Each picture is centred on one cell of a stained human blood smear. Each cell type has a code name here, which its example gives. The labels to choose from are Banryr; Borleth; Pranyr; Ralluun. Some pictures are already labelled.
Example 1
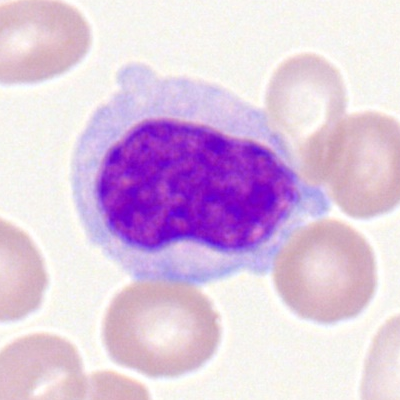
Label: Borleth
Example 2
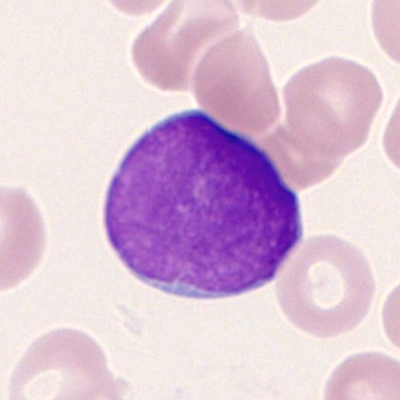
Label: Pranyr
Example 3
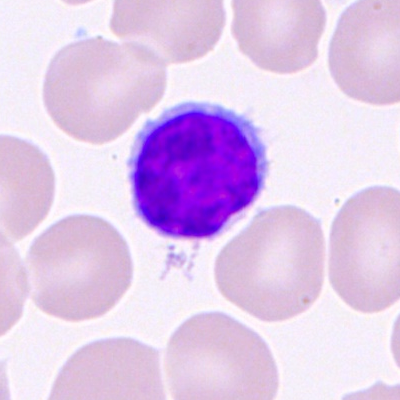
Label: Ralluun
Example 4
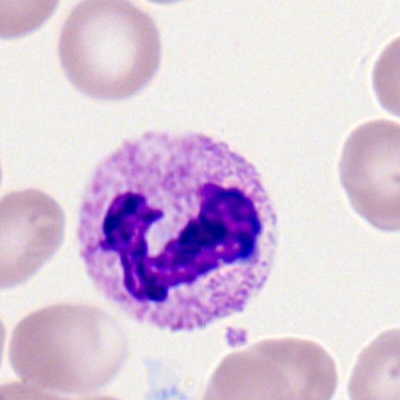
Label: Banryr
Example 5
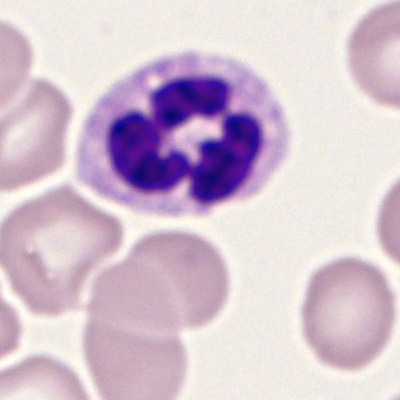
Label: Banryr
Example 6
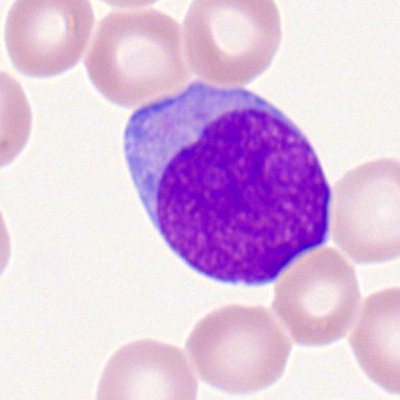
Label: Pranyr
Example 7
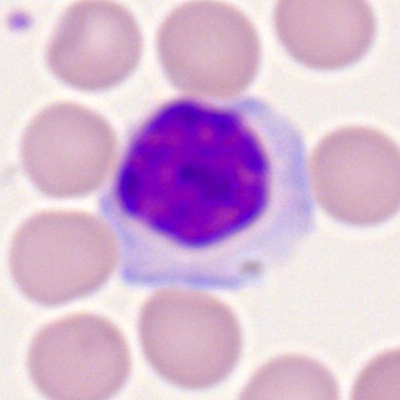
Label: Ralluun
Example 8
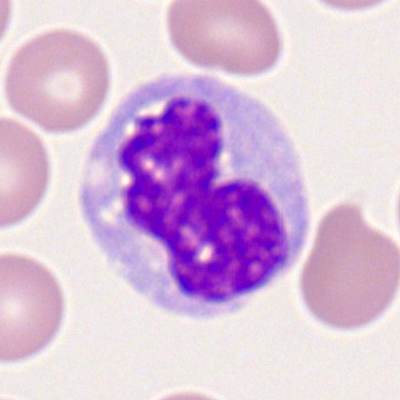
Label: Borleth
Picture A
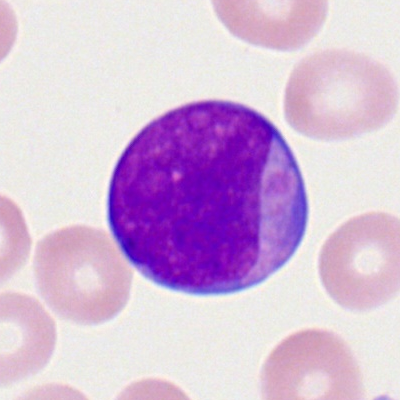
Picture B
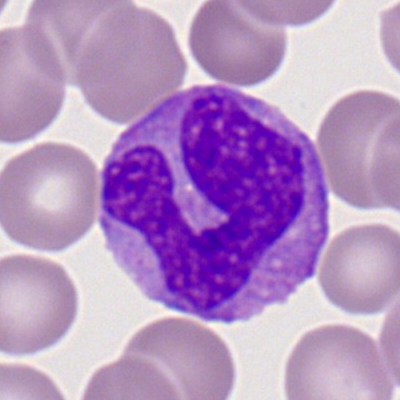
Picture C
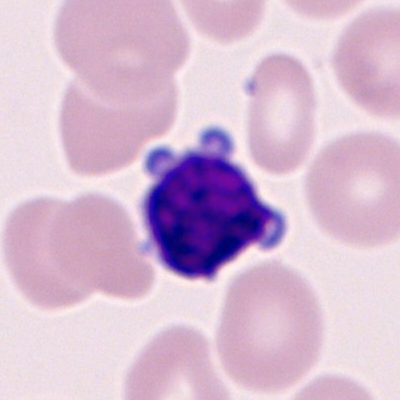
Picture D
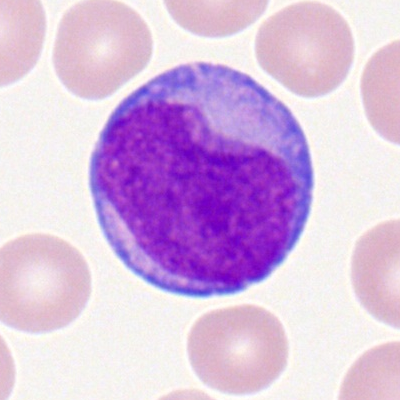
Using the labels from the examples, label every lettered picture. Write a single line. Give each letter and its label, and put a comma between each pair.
A Pranyr, B Borleth, C Ralluun, D Pranyr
